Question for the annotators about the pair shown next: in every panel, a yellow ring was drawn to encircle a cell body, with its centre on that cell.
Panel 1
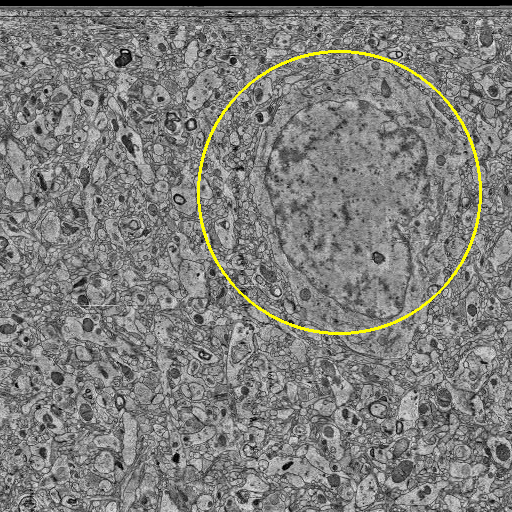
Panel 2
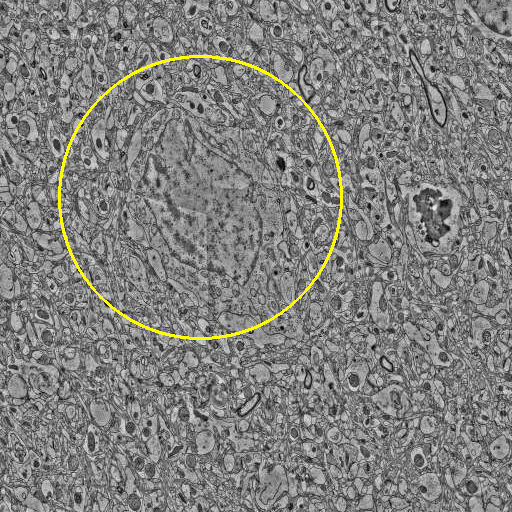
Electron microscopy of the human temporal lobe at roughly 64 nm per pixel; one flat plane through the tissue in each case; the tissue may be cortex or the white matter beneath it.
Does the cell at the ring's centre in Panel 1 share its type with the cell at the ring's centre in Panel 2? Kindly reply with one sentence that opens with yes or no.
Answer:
Yes, in Panels 1 and 2 the cells at the ring centres belong to a single type.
